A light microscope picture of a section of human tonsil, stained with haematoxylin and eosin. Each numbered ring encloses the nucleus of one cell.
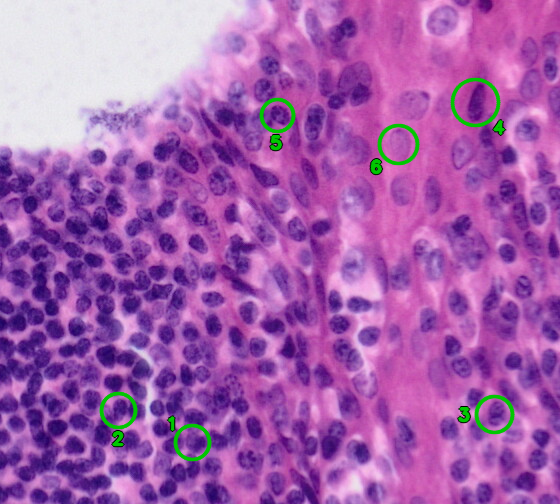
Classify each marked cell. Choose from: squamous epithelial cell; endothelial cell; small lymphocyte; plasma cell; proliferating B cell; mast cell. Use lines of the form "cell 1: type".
cell 1: small lymphocyte
cell 2: small lymphocyte
cell 3: plasma cell
cell 4: squamous epithelial cell
cell 5: plasma cell
cell 6: squamous epithelial cell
